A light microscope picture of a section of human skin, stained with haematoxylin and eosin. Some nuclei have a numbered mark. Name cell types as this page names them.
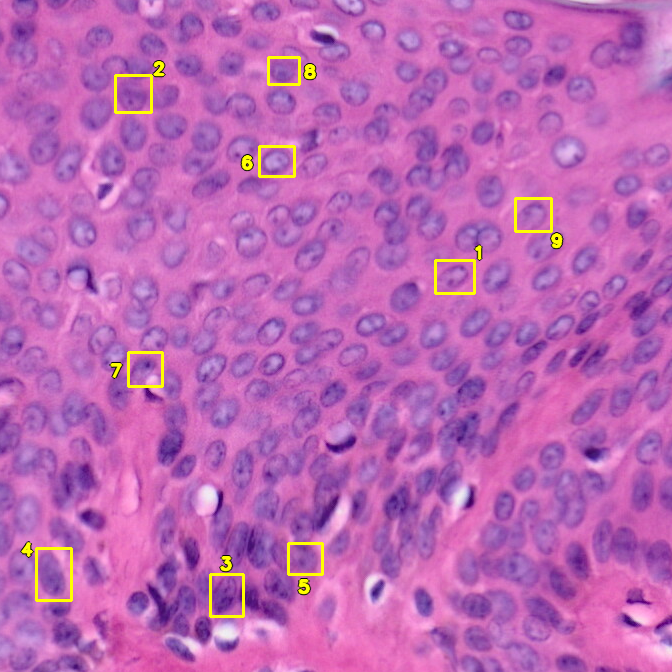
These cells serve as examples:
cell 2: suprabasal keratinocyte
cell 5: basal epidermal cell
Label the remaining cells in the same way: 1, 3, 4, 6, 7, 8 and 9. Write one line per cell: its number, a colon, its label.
1: suprabasal keratinocyte
3: basal epidermal cell
4: basal epidermal cell
6: suprabasal keratinocyte
7: basal epidermal cell
8: suprabasal keratinocyte
9: suprabasal keratinocyte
